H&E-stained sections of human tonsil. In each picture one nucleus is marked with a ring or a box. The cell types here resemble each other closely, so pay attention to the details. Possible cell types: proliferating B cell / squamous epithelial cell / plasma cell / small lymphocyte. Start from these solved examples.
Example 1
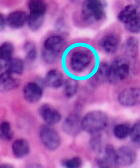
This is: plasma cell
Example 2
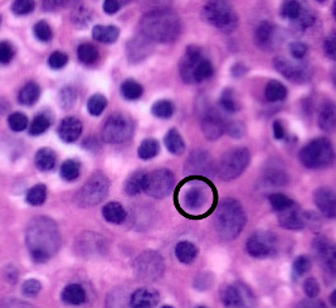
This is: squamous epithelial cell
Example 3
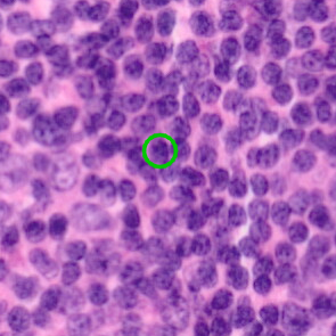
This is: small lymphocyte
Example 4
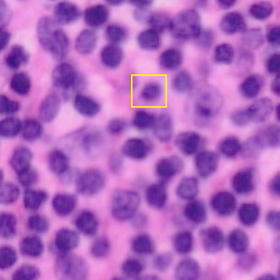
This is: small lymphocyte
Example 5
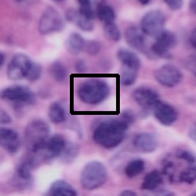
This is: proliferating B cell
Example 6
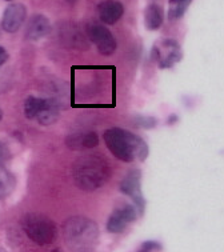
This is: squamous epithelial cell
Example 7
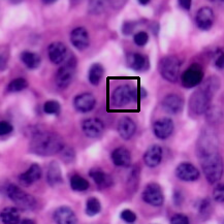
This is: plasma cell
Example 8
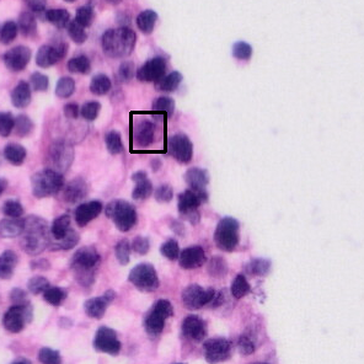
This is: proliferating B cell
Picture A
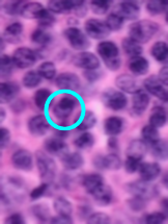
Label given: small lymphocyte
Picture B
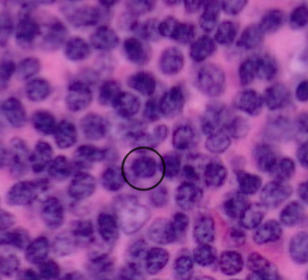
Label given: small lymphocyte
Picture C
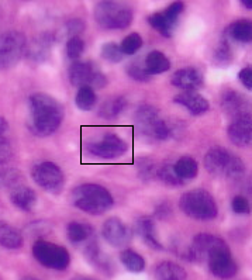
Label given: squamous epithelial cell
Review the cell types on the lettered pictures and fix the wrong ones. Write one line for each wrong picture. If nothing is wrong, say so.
Nothing to fix; every label fits.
